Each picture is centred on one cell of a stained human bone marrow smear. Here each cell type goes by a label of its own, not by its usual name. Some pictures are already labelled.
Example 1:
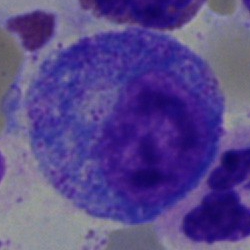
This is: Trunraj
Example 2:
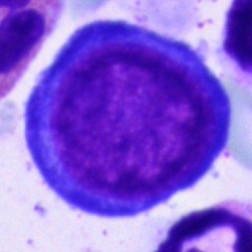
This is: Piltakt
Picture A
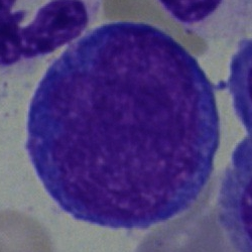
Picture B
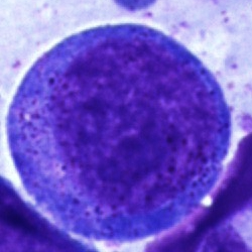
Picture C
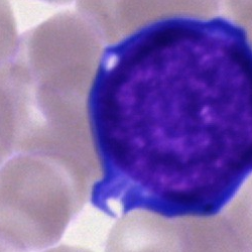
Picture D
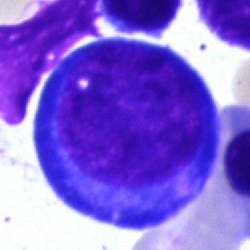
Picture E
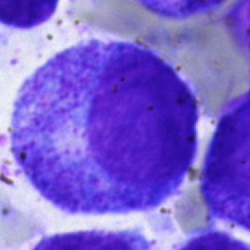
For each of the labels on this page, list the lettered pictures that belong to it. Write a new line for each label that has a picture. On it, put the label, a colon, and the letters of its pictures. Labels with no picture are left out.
Trunraj: B, E
Piltakt: A, C, D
